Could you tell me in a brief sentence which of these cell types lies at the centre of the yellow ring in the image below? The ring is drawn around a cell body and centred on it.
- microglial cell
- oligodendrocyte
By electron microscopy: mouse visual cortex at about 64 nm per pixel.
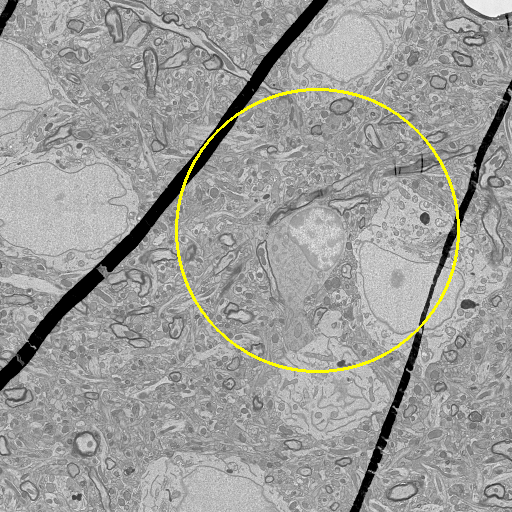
The cell centred in the ring is an oligodendrocyte.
